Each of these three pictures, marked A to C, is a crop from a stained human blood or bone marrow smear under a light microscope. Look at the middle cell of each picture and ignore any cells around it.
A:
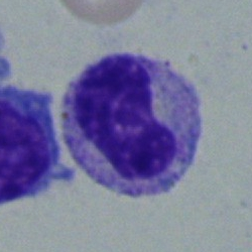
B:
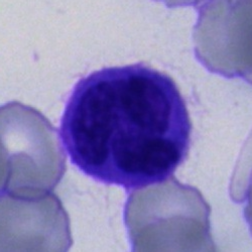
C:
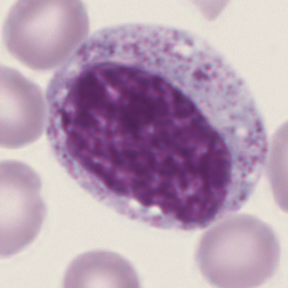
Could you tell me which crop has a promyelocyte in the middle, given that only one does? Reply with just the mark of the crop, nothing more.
C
